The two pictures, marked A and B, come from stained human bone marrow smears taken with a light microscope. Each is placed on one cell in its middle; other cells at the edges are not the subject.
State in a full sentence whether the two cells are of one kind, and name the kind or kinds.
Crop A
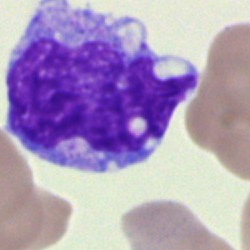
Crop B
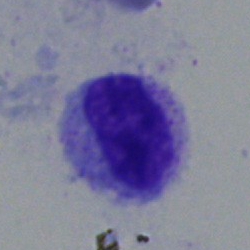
No, whereas crop A shows a monocyte, crop B shows a metamyelocyte.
